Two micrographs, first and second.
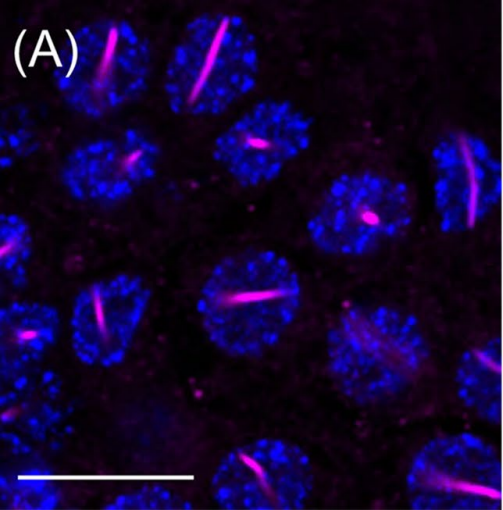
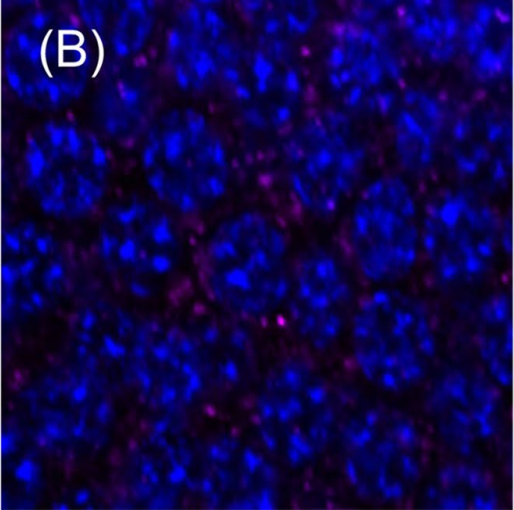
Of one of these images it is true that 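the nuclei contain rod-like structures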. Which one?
The first image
